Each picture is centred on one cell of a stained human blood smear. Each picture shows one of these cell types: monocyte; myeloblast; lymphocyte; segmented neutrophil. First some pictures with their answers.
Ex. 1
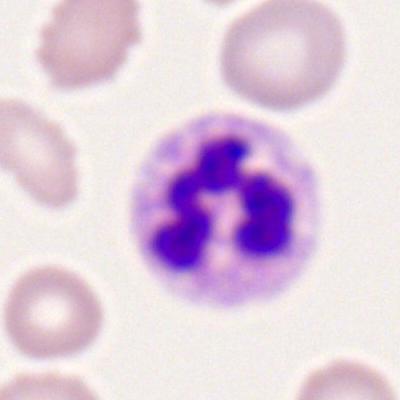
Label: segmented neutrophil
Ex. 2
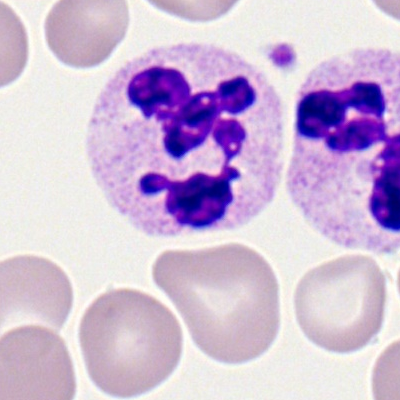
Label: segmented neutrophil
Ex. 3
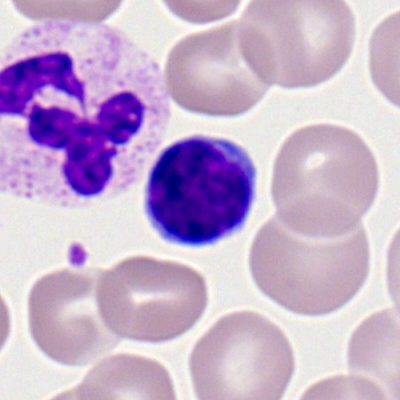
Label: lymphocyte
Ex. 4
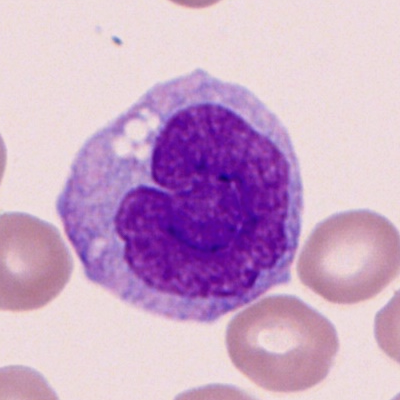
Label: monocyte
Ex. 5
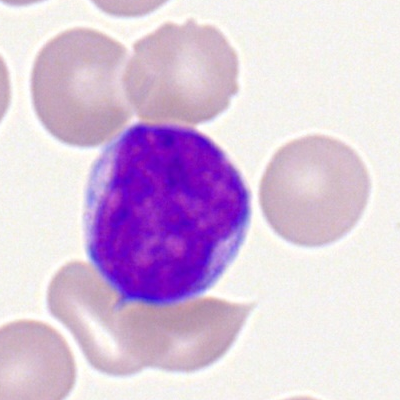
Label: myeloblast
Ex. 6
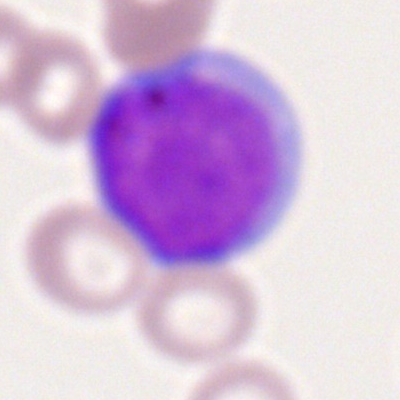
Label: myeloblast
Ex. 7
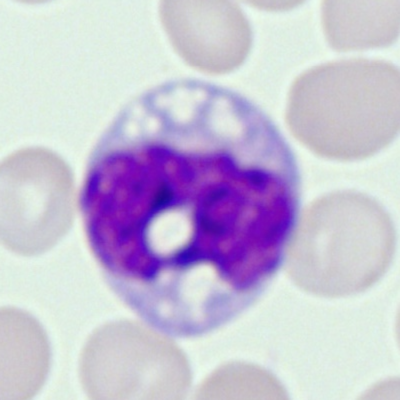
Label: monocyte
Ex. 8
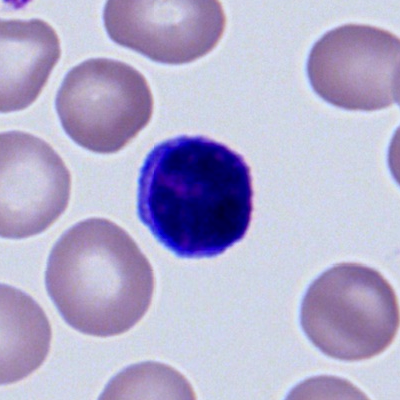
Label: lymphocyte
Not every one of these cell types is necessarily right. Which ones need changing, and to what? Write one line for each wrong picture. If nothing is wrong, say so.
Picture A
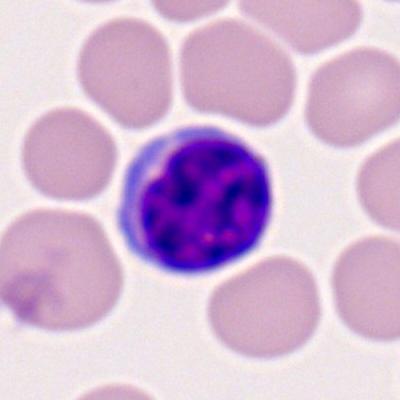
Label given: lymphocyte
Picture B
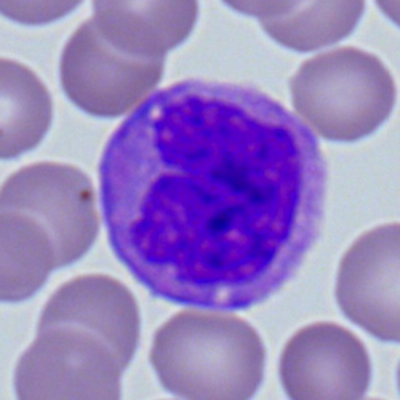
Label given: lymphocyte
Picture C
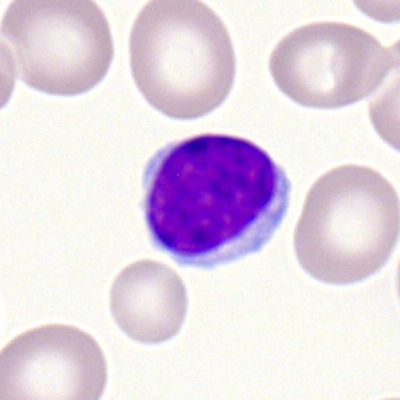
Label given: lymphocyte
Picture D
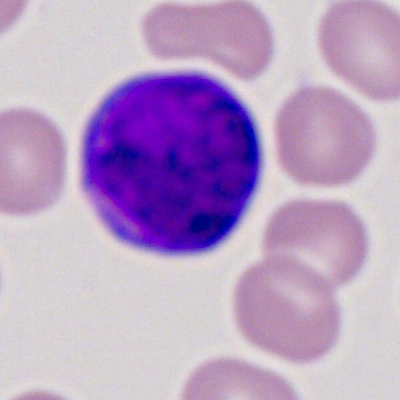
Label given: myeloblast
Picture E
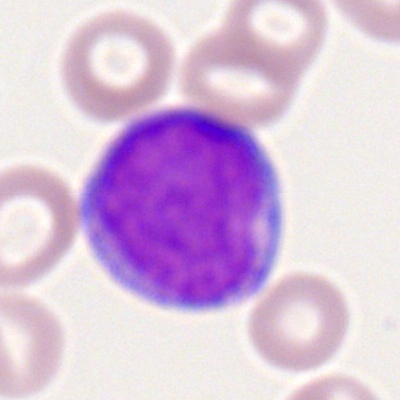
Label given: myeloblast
B is labelled lymphocyte; correct label: monocyte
